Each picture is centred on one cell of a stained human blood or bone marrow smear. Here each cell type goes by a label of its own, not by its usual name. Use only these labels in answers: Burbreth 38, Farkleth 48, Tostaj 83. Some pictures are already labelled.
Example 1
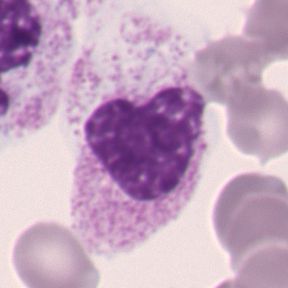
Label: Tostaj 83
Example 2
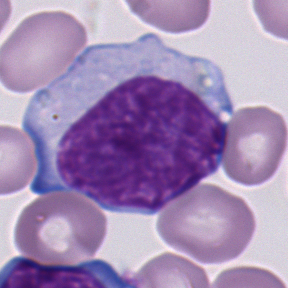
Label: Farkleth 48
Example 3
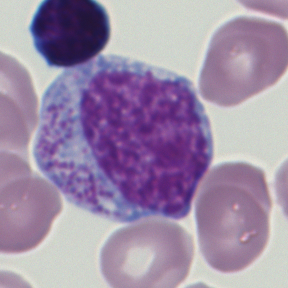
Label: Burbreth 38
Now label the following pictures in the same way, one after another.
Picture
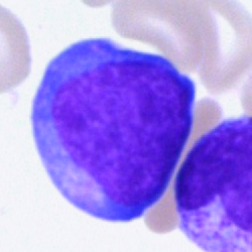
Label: Farkleth 48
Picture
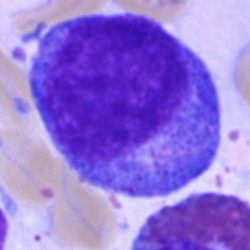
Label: Burbreth 38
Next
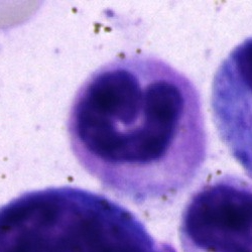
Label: Tostaj 83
